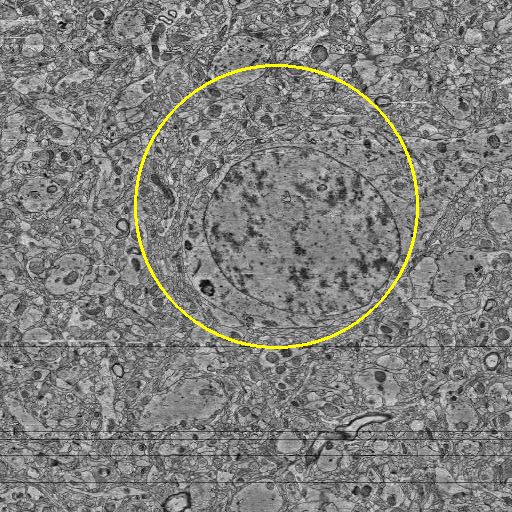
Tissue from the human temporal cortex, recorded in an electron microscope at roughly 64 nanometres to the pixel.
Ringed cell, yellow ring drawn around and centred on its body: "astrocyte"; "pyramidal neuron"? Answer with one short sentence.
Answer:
This ringed cell is a pyramidal neuron.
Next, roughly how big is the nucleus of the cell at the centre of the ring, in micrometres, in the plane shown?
Approximately 13 micrometres long and 11 micrometres wide, in this plane.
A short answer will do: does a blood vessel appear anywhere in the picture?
No, none shows.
